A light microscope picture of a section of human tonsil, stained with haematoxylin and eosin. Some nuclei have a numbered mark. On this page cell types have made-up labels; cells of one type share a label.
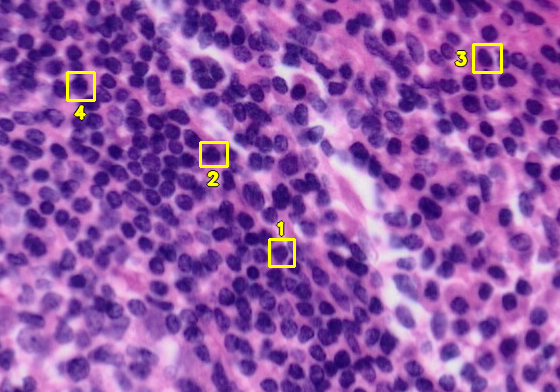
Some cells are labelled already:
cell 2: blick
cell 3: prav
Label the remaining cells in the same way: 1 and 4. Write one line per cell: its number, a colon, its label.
1: blick
4: blick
